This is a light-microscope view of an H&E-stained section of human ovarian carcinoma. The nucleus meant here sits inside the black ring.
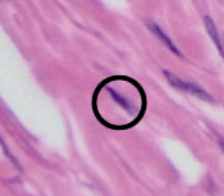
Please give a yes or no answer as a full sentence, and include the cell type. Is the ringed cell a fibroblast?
Yes, the ringed cell is properly regarded as a fibroblast.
